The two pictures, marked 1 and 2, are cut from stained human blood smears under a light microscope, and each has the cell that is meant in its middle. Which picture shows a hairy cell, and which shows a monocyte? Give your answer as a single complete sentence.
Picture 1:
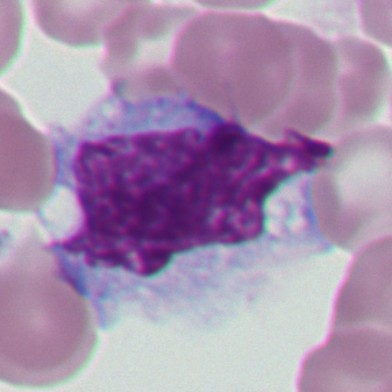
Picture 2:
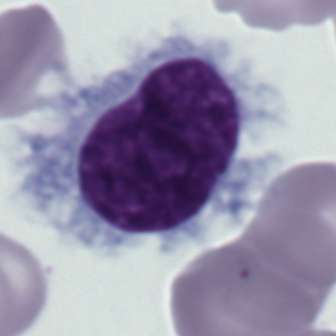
Picture 2 shows a hairy cell, while picture 1 shows a monocyte.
